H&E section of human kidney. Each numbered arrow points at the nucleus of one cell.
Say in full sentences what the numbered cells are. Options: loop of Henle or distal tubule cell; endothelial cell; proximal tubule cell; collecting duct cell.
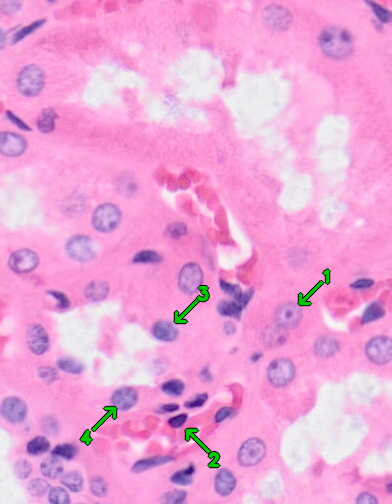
Cell 1 is a proximal tubule cell. Cell 2 is an endothelial cell. Cells 3 and 4 are loop of Henle or distal tubule cells.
